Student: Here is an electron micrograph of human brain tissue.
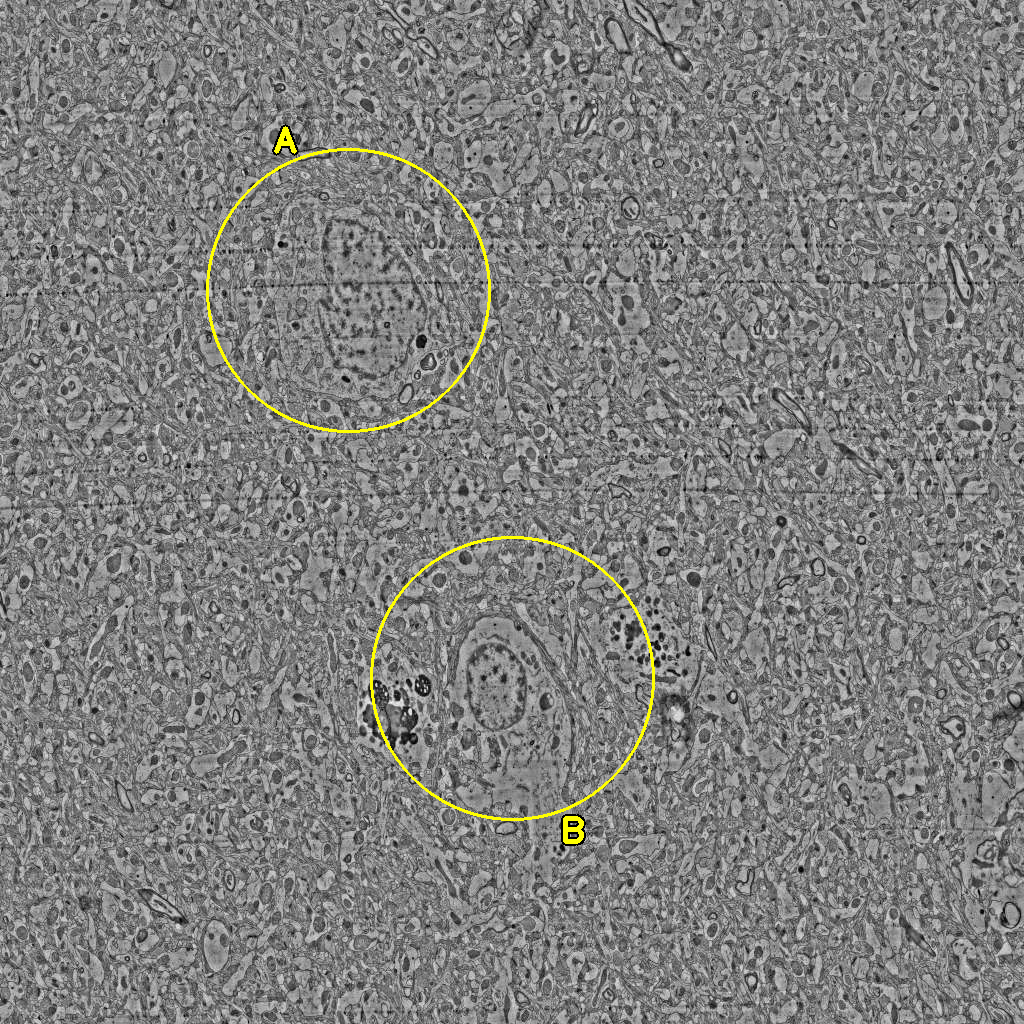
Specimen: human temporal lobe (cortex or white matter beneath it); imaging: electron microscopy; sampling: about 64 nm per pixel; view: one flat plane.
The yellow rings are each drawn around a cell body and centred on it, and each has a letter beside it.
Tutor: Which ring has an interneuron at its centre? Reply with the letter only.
A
